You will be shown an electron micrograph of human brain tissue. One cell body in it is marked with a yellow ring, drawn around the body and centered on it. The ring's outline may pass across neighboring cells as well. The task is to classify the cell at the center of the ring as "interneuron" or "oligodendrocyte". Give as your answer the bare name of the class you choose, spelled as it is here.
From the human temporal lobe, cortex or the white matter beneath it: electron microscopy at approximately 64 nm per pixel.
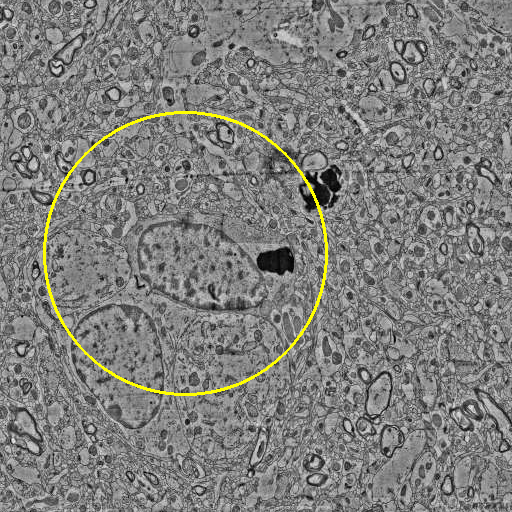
oligodendrocyte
